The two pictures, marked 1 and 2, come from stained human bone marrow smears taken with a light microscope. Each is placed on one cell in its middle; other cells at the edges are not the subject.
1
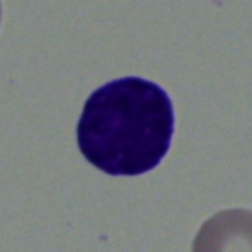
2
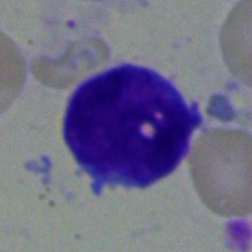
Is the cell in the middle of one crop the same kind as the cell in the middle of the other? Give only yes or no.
yes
